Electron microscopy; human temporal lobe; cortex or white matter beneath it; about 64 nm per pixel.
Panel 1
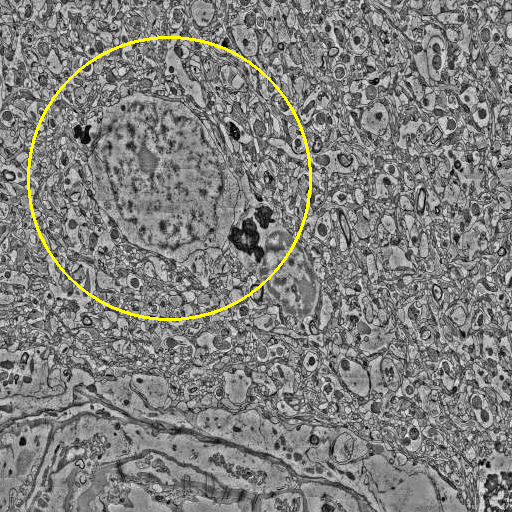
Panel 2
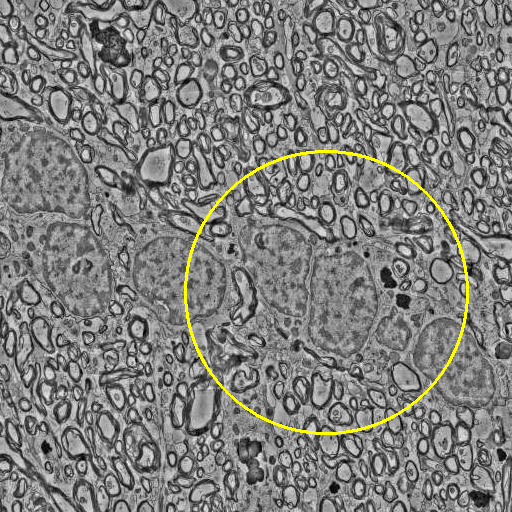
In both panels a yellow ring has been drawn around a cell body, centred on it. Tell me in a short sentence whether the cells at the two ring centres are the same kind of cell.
No, they are two kinds of cell.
